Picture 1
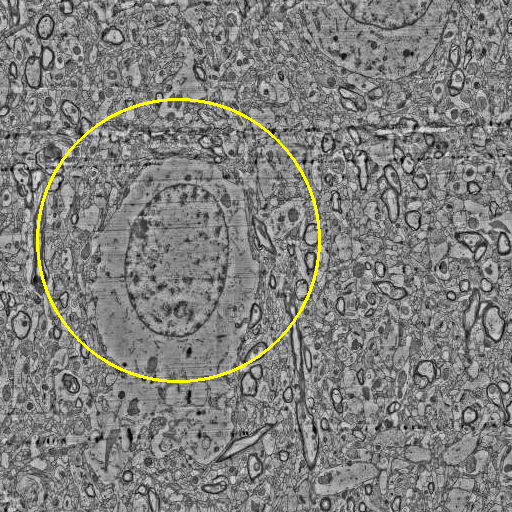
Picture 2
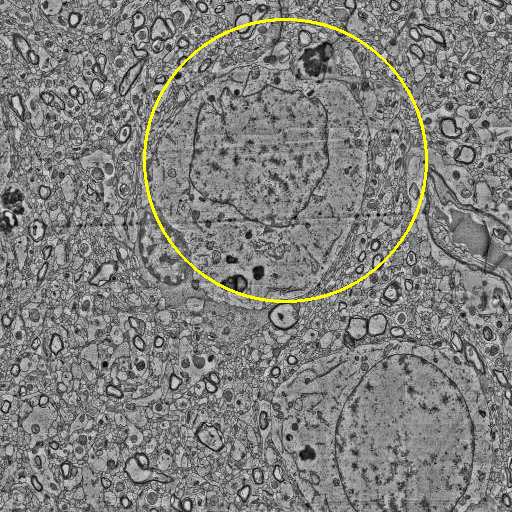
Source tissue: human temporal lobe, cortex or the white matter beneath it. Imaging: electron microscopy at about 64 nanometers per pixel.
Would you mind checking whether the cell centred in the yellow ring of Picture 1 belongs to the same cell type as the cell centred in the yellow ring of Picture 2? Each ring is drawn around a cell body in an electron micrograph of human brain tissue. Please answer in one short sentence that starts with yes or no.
No, the two cells are of two types.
